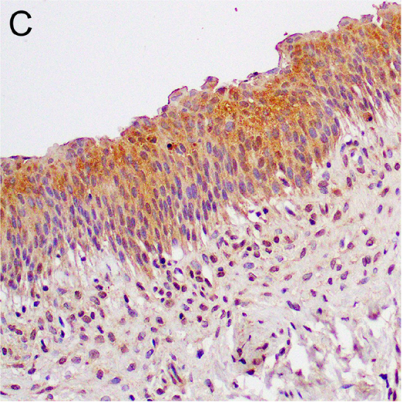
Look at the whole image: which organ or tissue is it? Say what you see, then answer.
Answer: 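A multilayered epithelium lines one surface of the tissue. The epithelial cells are orderly and layered, with uniform nuclei. Loose stroma with scattered spindle-shaped nuclei lies beneath the epithelium. So: normal urothelium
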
